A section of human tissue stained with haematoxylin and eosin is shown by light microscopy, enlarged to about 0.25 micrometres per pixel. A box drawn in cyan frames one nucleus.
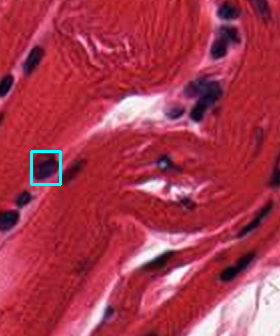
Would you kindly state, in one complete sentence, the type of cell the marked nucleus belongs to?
A nucleus belonging to a skeletal muscle fibre is the one marked.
